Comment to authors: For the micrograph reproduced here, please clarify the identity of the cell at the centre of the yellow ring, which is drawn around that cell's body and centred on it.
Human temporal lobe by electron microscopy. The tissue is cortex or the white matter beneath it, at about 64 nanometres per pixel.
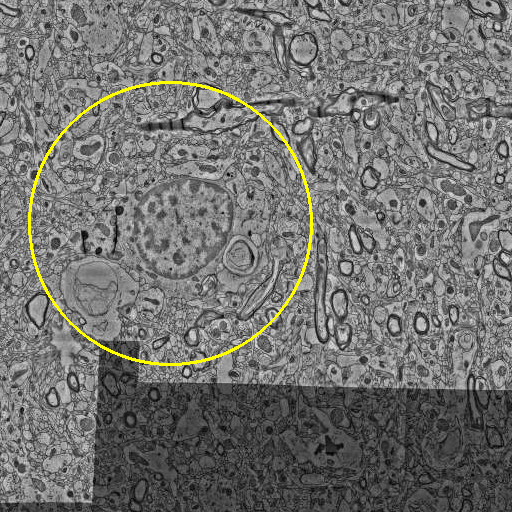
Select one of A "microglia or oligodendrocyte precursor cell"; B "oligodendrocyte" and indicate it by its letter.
B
